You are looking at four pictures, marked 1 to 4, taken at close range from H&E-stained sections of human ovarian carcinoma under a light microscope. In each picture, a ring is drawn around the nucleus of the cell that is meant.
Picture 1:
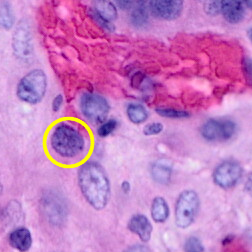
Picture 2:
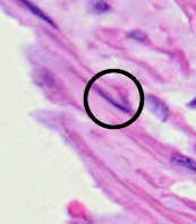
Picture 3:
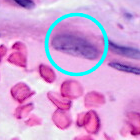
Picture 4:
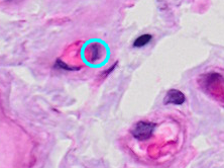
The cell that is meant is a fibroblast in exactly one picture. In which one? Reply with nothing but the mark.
2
